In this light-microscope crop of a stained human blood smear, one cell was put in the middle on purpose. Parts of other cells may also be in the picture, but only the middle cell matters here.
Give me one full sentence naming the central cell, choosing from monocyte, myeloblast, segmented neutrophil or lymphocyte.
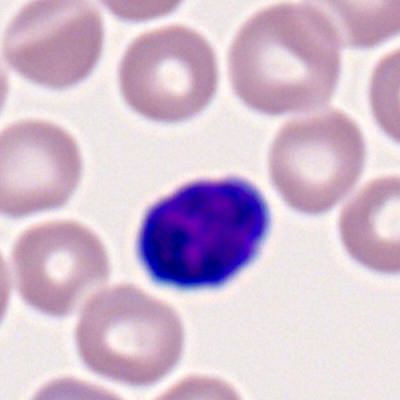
As for the central cell, it is a lymphocyte.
